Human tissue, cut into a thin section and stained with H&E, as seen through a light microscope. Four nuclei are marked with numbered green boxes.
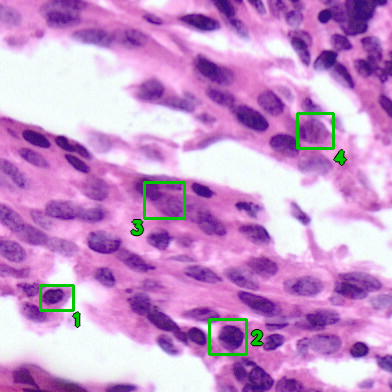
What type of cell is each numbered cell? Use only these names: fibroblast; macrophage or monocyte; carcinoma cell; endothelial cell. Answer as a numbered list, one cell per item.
1. macrophage or monocyte
2. carcinoma cell
3. carcinoma cell
4. carcinoma cell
